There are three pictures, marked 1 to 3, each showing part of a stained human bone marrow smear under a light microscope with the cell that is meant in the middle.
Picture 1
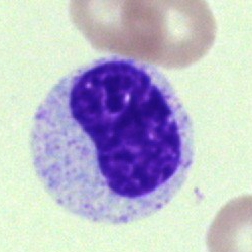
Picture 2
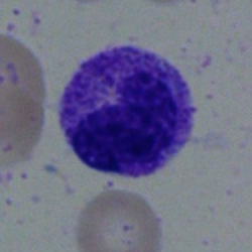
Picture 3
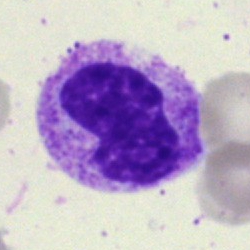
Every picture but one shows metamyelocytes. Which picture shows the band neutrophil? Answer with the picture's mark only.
3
